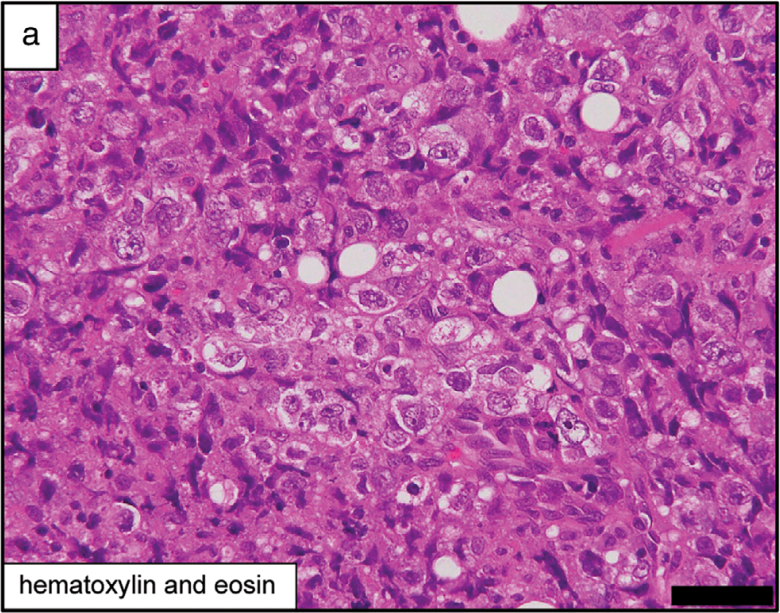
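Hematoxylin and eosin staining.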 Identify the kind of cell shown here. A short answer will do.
Large tumor cells with acidophilic cytoplasm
